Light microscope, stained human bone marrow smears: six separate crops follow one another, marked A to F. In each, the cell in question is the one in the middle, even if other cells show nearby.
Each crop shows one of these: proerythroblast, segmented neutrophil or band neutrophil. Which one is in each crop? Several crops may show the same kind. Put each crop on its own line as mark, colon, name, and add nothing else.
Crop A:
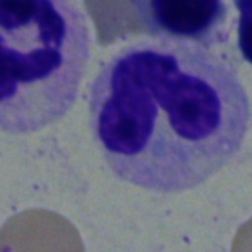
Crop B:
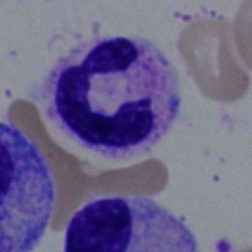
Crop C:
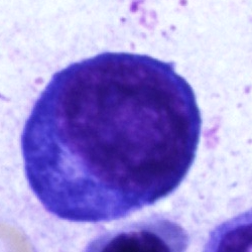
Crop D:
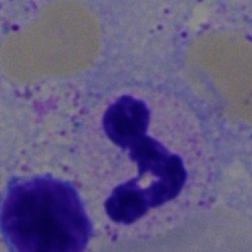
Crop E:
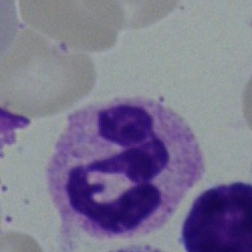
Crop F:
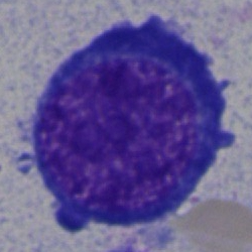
A: band neutrophil
B: segmented neutrophil
C: proerythroblast
D: segmented neutrophil
E: segmented neutrophil
F: proerythroblast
